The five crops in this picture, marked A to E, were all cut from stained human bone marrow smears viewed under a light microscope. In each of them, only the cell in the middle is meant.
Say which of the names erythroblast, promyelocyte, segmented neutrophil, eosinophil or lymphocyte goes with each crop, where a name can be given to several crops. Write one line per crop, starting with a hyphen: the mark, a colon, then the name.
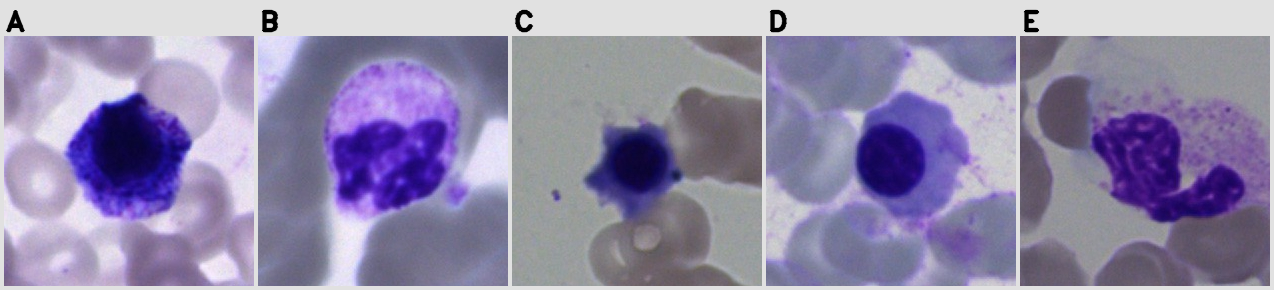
- A: promyelocyte
- B: segmented neutrophil
- C: erythroblast
- D: erythroblast
- E: segmented neutrophil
